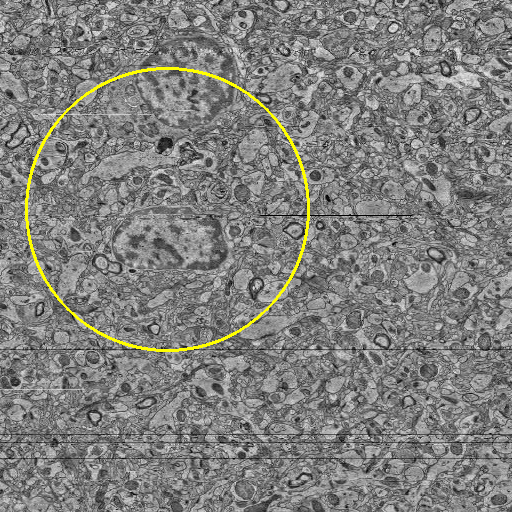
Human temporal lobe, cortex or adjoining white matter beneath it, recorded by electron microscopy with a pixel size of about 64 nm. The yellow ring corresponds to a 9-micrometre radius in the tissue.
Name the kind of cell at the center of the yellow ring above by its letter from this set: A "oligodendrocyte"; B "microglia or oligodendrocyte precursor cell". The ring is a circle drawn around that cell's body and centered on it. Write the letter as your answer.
B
